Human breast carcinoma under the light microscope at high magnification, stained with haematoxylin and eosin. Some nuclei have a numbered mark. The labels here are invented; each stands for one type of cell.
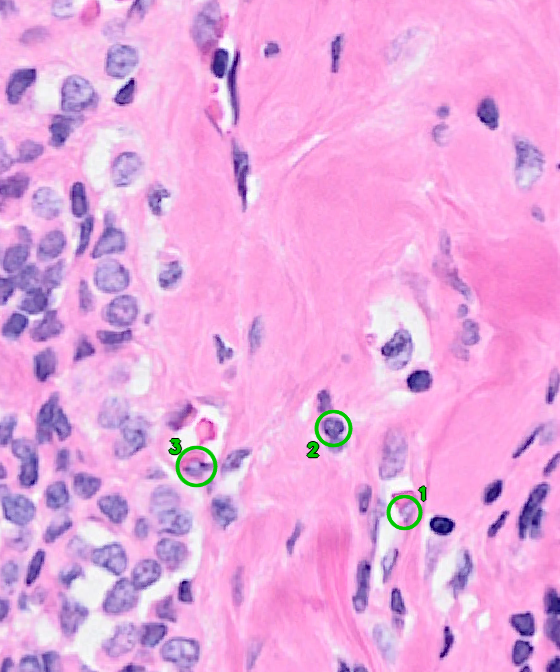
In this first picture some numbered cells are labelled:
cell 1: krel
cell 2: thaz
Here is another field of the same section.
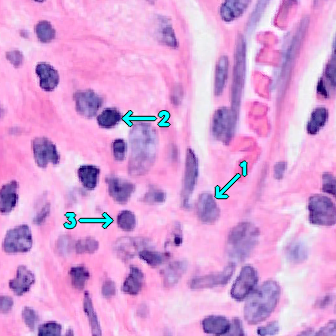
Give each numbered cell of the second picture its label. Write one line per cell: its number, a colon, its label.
1: krel
2: thaz
3: thaz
